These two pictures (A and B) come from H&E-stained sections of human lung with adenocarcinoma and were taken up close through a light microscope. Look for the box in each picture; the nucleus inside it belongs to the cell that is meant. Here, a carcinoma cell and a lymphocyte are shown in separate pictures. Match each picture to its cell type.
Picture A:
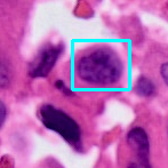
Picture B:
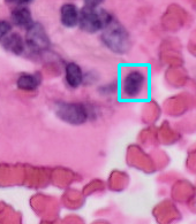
A: carcinoma cell
B: lymphocyte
